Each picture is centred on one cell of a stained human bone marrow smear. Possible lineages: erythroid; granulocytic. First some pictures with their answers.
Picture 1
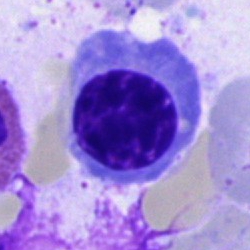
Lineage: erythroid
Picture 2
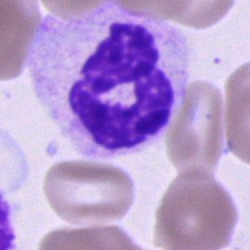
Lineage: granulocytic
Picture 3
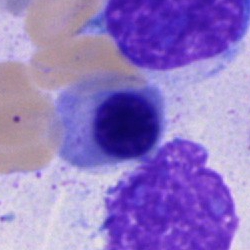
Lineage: erythroid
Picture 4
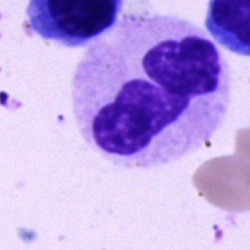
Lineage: granulocytic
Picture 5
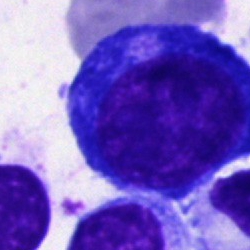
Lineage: erythroid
